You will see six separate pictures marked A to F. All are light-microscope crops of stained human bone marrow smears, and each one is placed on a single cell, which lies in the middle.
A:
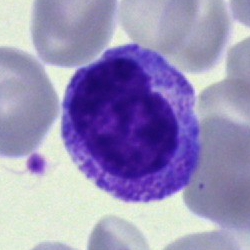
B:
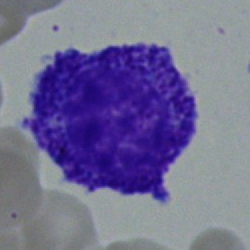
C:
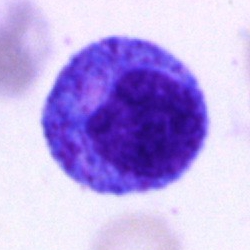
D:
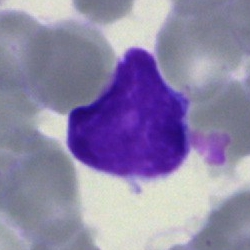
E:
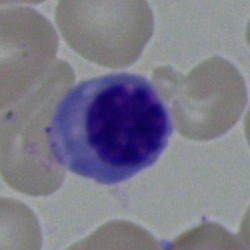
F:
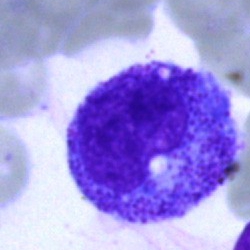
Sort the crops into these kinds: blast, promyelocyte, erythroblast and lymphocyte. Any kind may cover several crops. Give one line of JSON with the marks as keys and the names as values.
{"A": "promyelocyte", "B": "promyelocyte", "C": "promyelocyte", "D": "lymphocyte", "E": "erythroblast", "F": "promyelocyte"}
